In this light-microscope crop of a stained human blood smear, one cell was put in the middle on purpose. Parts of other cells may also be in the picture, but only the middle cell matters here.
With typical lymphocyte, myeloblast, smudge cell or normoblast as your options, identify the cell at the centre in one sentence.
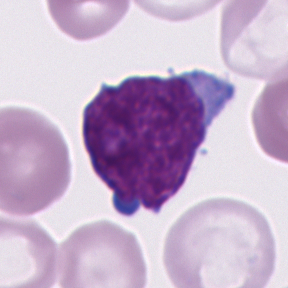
The cell the crop is centered on is a myeloblast.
